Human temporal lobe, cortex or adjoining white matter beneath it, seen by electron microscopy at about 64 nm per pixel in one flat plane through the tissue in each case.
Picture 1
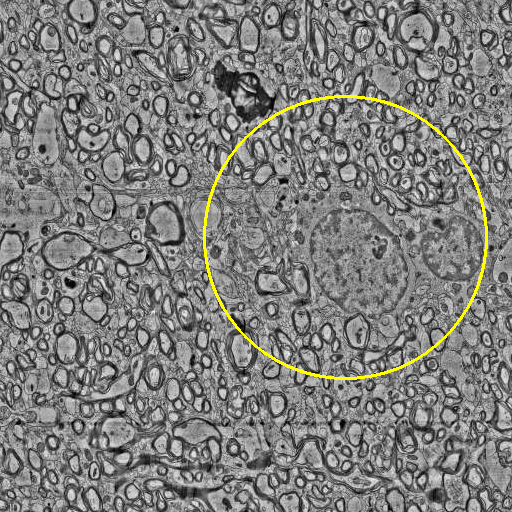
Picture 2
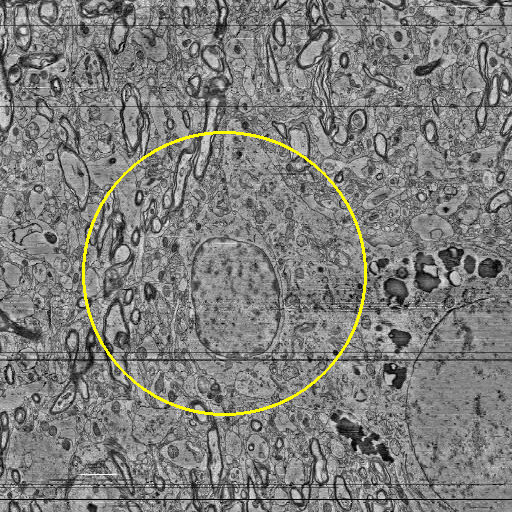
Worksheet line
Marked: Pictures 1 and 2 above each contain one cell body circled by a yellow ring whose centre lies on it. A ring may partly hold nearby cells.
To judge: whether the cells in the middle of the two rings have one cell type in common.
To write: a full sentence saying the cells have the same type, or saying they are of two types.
The cells in the middle of the rings in Picture 1 and Picture 2 are of two types.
